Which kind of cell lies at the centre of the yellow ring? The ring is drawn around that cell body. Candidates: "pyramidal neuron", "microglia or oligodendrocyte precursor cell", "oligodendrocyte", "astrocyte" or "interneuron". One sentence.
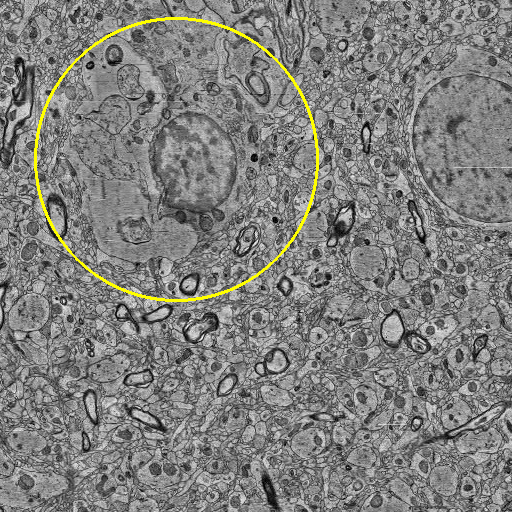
Lying at the centre of the ring is an oligodendrocyte.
